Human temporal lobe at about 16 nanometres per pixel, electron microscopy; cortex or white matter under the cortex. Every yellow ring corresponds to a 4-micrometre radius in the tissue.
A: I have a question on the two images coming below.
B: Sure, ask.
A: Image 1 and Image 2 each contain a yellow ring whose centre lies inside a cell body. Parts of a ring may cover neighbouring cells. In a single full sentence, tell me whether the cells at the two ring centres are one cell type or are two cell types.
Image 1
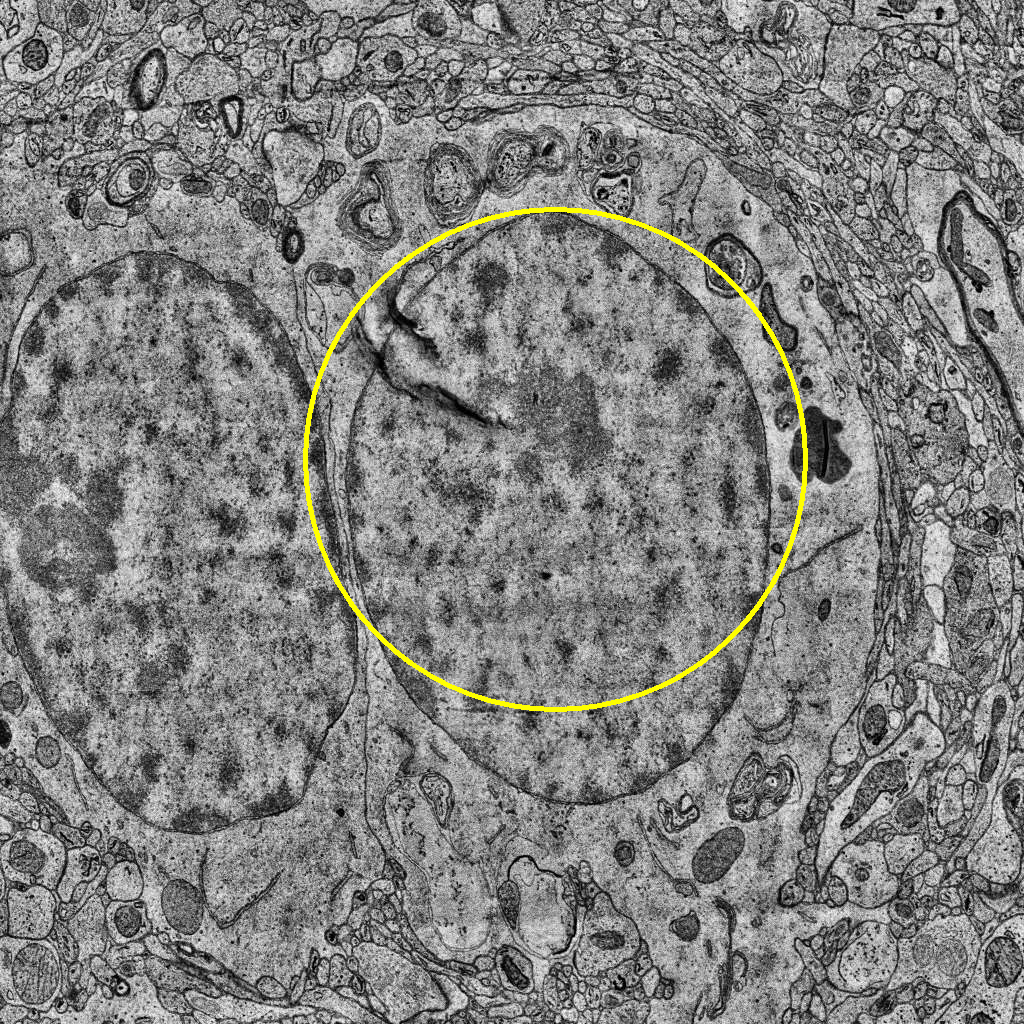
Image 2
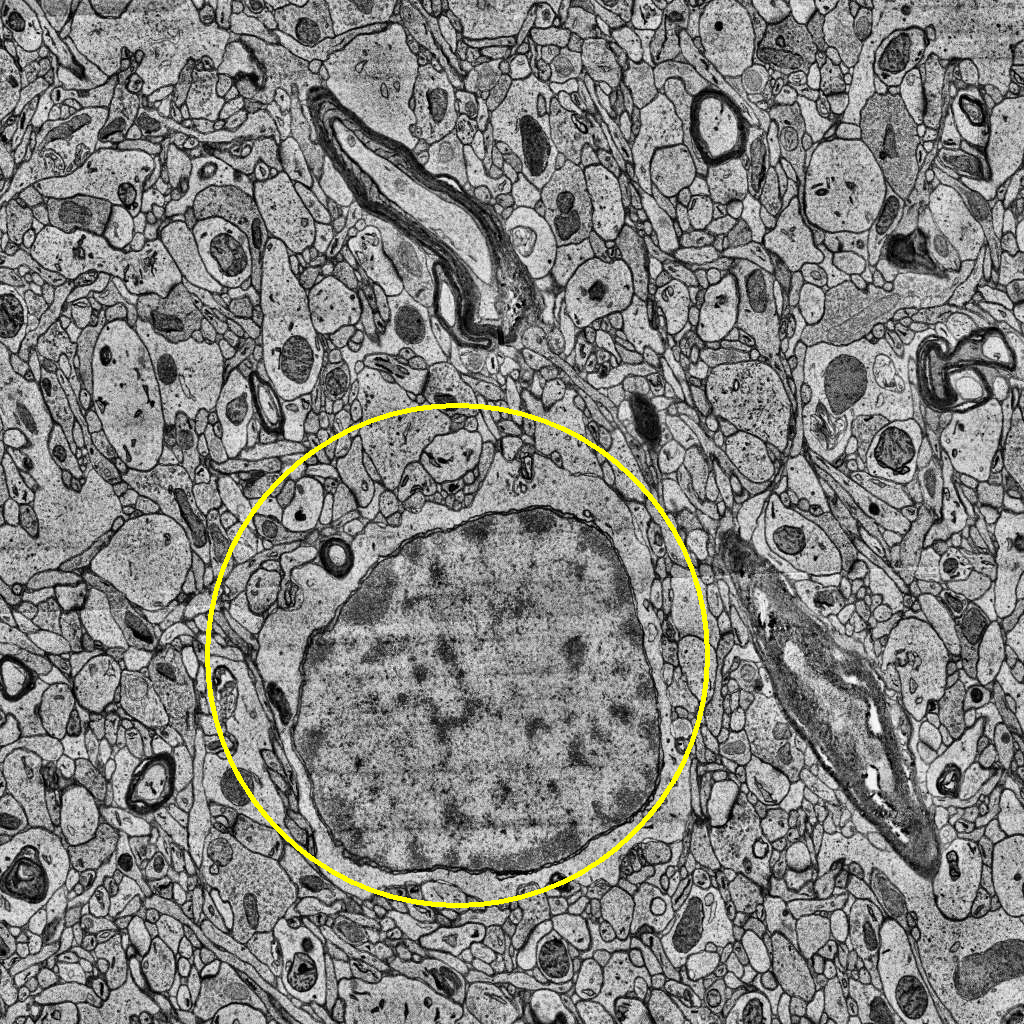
As for the ring-centre cells, the one in Image 1 and the one in Image 2 are two cell types.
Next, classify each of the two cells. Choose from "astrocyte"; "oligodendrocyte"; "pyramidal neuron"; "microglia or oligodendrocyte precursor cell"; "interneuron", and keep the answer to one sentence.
So the first is an astrocyte, the second a microglial cell or oligodendrocyte precursor cell.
